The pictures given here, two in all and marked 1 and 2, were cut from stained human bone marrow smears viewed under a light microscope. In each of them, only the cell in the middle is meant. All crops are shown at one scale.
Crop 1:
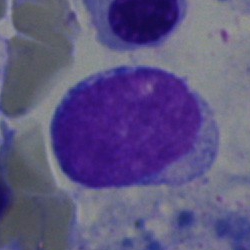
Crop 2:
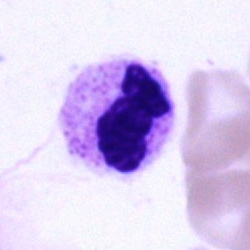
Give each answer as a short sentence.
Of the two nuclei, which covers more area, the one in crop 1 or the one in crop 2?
The nucleus in crop 1 is larger, with about 3 times the area of the one in crop 2.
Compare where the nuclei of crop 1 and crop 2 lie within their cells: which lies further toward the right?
It is the nucleus in crop 2 that lies further toward the right of its cell.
